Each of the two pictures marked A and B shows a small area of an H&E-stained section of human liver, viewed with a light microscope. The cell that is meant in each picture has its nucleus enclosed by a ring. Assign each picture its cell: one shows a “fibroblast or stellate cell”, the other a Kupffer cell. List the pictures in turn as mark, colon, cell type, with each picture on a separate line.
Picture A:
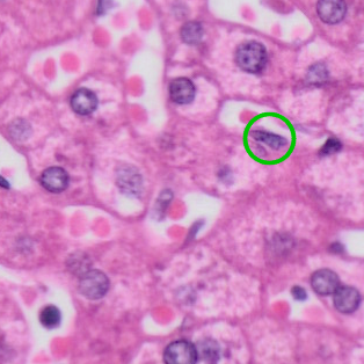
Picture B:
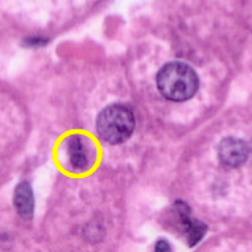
A: Kupffer cell
B: fibroblast or stellate cell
